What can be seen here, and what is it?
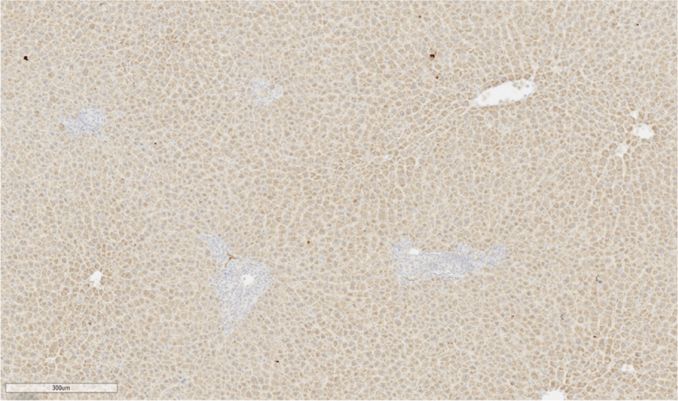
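Liver parenchyma of closely packed polygonal cells shows an even light brown cytoplasmic staining across the field, interrupted by several small pale triangular areas of loose connective tissue around small vessels. These are hepatocytes stained throughout, with the portal areas left unstained.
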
